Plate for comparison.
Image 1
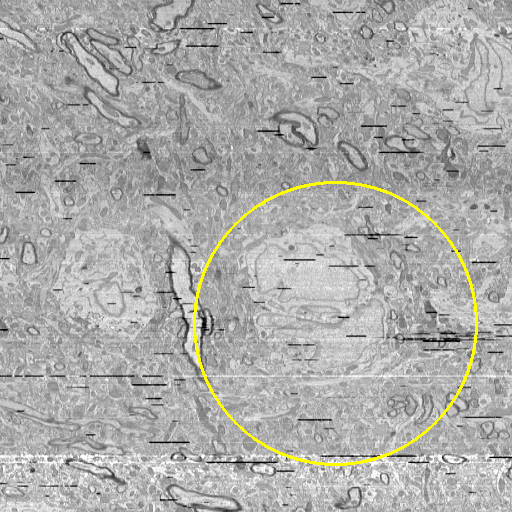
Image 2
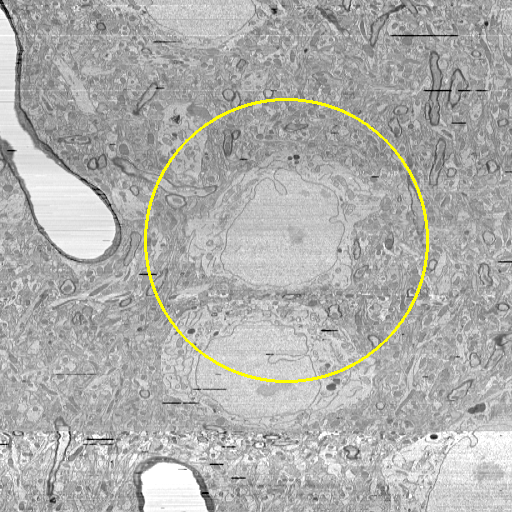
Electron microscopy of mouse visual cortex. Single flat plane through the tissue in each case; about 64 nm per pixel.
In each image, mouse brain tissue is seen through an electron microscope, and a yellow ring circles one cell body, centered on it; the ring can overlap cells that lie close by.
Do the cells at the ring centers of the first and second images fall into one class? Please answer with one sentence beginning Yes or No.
No, the first and second images show two classes of cell at the ring centers.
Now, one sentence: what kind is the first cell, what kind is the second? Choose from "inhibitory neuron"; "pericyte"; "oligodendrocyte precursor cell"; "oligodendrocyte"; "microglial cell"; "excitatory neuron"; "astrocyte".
The first picture has an oligodendrocyte precursor cell at its ring centre, and the second has an excitatory neuron.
